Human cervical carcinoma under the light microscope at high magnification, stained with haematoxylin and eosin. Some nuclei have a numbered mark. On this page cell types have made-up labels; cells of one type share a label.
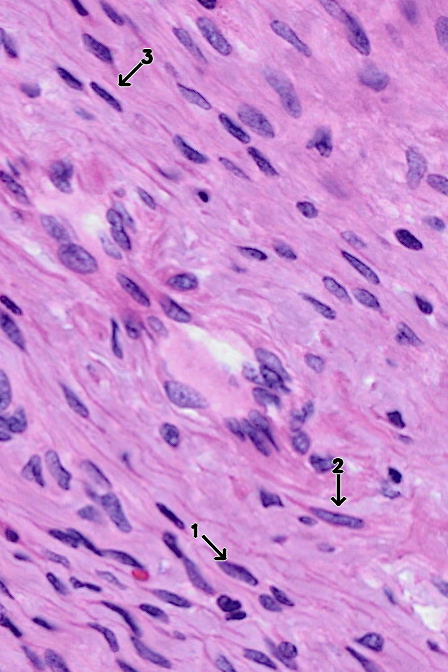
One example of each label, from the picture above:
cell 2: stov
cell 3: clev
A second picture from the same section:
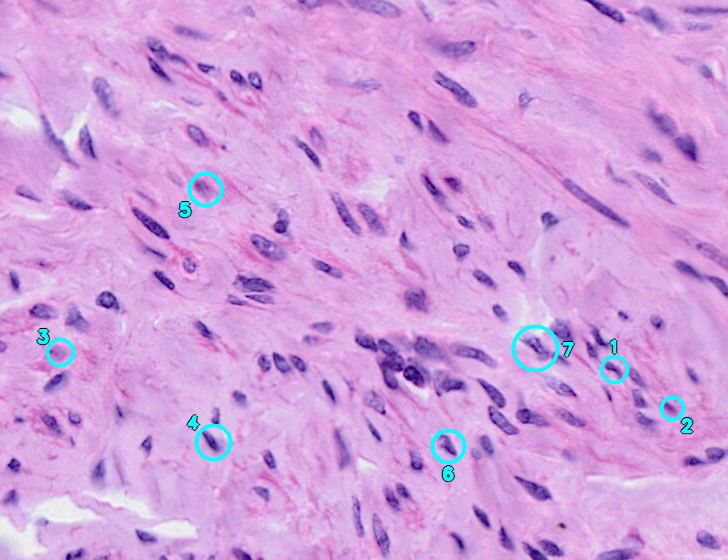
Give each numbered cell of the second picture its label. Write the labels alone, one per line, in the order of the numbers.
stov
stov
stov
clev
stov
clev
clev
